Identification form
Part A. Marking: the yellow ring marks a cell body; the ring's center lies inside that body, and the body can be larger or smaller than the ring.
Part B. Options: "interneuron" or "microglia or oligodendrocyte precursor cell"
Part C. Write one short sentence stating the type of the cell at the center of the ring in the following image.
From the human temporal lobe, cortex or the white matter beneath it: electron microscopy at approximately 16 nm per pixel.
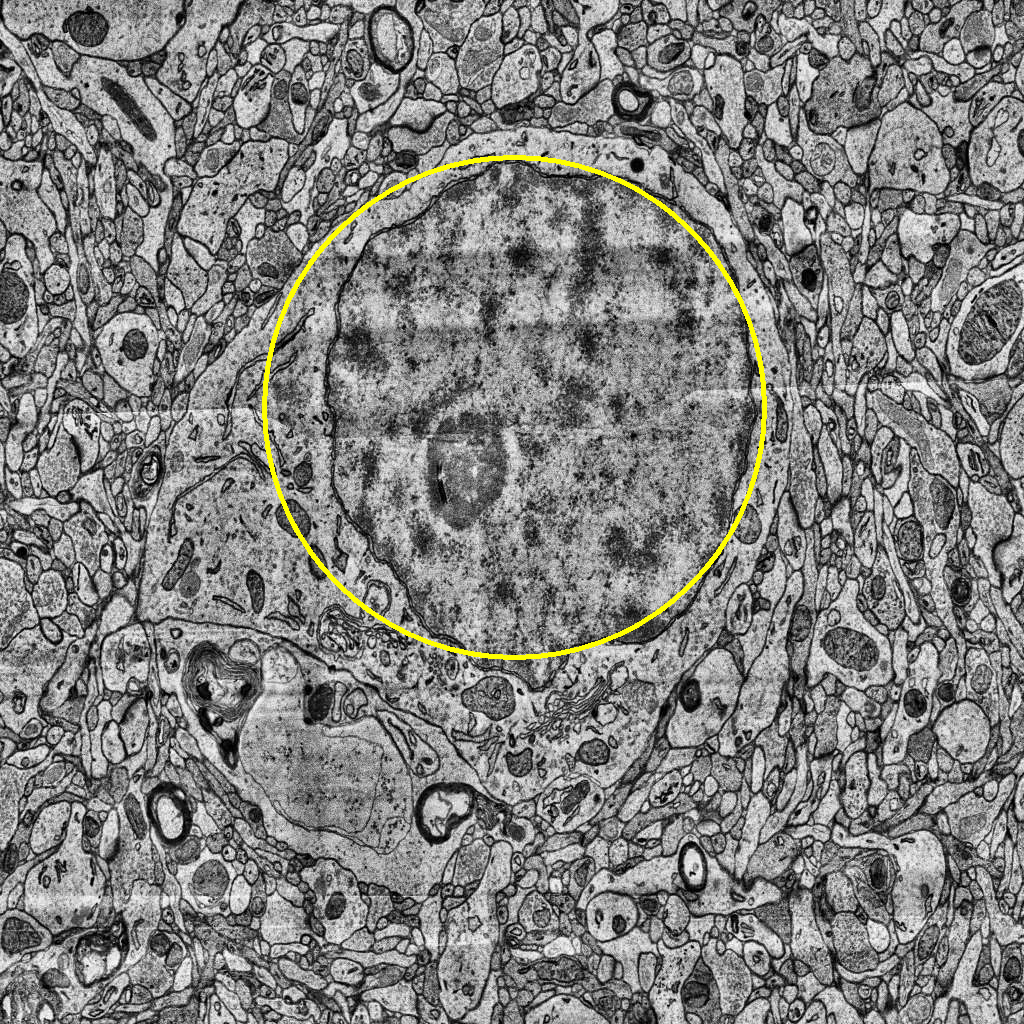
The center of the ring holds an interneuron.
